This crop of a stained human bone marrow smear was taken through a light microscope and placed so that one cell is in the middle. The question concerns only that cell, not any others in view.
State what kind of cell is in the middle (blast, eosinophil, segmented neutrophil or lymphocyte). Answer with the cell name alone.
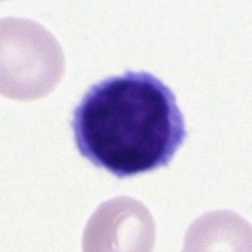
lymphocyte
